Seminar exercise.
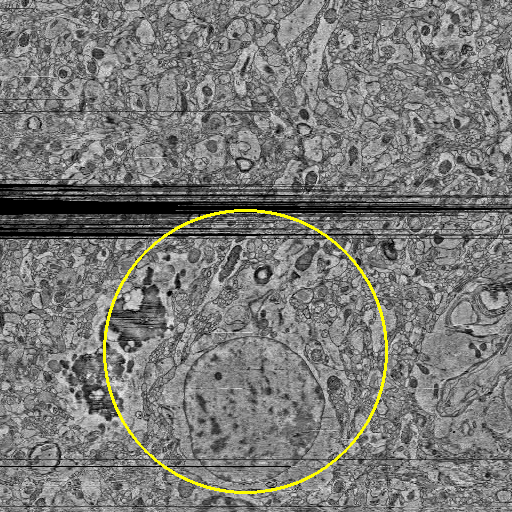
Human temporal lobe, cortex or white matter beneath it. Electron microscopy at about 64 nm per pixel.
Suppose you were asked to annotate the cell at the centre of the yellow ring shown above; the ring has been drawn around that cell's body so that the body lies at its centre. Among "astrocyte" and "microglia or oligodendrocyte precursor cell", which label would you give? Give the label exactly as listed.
astrocyte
